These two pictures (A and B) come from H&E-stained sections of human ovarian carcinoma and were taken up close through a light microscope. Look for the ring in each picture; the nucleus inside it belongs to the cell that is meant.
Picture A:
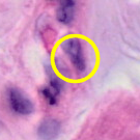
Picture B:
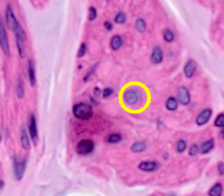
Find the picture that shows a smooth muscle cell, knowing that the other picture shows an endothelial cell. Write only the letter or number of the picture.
B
